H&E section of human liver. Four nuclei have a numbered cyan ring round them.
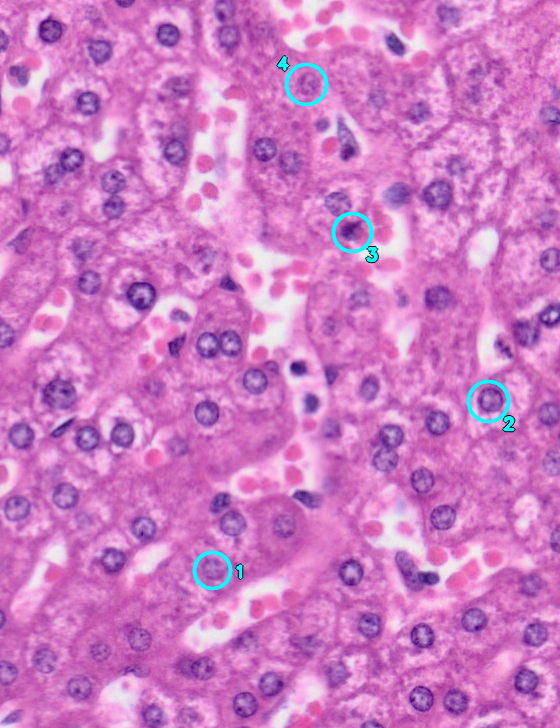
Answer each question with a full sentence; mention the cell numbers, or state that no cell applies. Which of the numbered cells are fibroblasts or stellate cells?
Among the numbered cells, the one that is a fibroblast or stellate cell is cell 3 alone.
